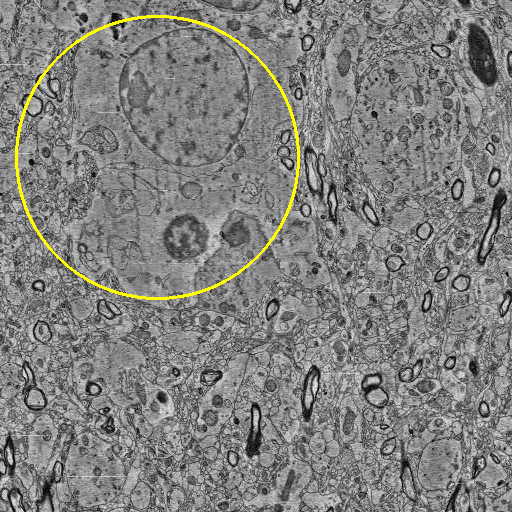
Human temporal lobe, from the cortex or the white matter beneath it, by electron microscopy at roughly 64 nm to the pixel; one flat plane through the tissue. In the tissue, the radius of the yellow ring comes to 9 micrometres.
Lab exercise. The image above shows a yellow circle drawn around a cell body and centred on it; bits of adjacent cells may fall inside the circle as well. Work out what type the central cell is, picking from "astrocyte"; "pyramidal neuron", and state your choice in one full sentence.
In the image above, the cell at the centre of the yellow circle is an astrocyte.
